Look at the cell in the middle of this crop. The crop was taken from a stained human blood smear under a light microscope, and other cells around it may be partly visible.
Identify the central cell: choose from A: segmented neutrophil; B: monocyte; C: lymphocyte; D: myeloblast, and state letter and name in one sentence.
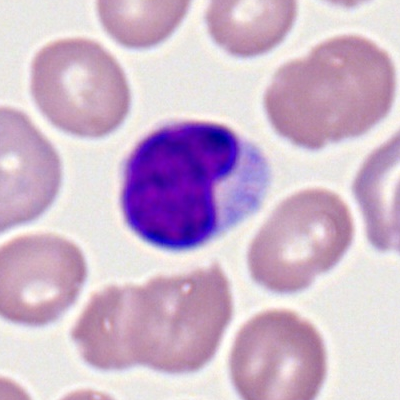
Since the cell in the middle is a lymphocyte, option C is correct.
